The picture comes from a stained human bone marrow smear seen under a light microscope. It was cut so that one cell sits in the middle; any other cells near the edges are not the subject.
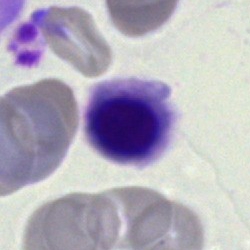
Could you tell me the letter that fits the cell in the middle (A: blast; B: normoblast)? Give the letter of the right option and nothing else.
B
